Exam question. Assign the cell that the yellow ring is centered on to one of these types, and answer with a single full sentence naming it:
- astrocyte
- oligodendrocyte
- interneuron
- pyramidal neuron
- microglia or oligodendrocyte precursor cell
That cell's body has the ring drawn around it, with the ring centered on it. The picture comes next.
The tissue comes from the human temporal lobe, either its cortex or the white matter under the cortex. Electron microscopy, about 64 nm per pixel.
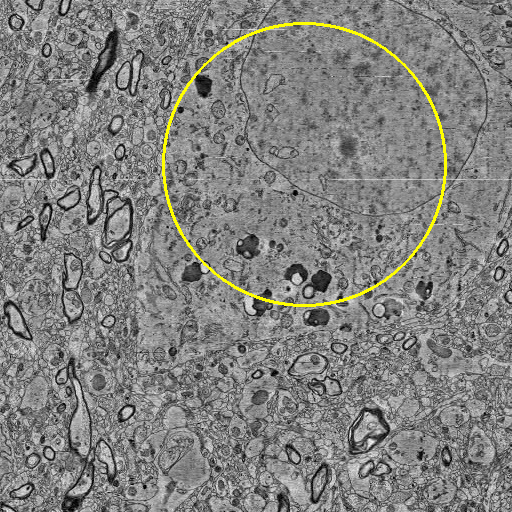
In the micrograph, the cell the yellow ring is centered on is a pyramidal neuron.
